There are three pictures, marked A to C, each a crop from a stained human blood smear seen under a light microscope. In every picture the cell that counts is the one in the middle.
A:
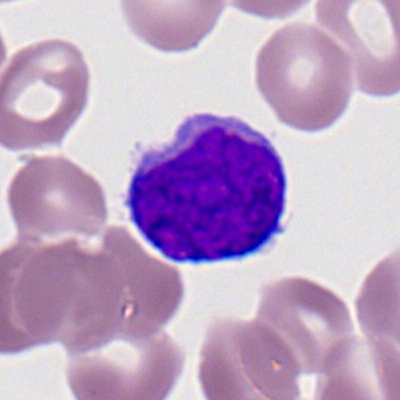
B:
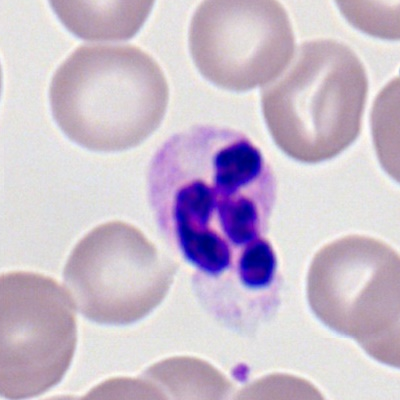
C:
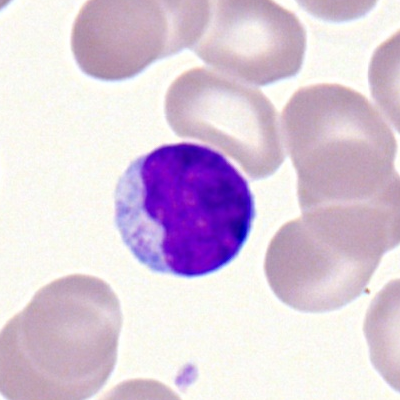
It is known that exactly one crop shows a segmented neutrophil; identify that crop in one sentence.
The one crop that shows a segmented neutrophil is crop B.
